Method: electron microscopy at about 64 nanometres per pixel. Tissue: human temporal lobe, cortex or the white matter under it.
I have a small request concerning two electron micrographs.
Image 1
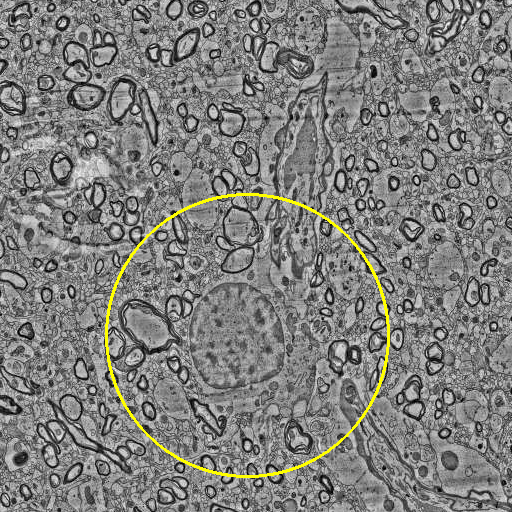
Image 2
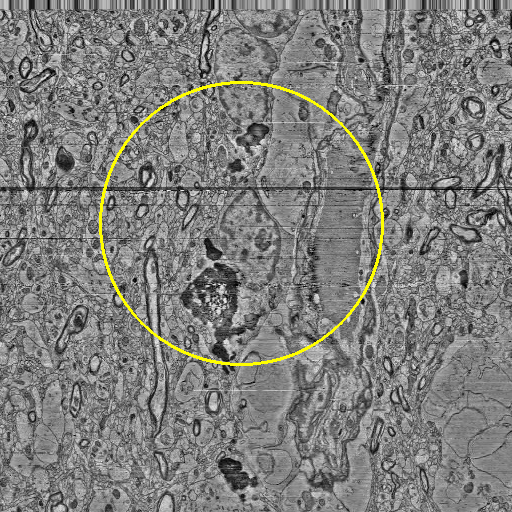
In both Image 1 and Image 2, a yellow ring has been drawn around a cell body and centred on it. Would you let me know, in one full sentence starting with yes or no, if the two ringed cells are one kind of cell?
Yes, the cells ringed in Image 1 and Image 2 are one kind of cell.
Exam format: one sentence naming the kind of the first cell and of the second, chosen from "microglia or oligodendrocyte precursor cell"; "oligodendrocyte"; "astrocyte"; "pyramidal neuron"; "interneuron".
Each of the ringed cells, first and second, is an oligodendrocyte.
